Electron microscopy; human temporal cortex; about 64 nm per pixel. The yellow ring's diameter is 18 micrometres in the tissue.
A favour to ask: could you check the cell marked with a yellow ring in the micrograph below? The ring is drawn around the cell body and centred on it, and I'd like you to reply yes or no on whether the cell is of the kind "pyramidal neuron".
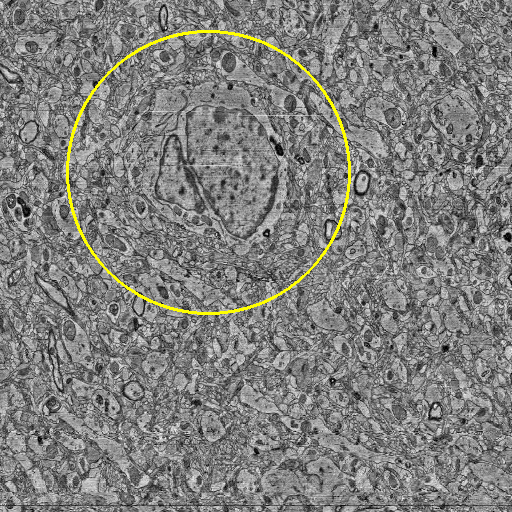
no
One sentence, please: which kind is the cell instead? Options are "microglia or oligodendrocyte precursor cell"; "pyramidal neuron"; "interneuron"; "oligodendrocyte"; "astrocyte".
Instead, the ring surrounds a microglial cell or oligodendrocyte precursor cell in this picture.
